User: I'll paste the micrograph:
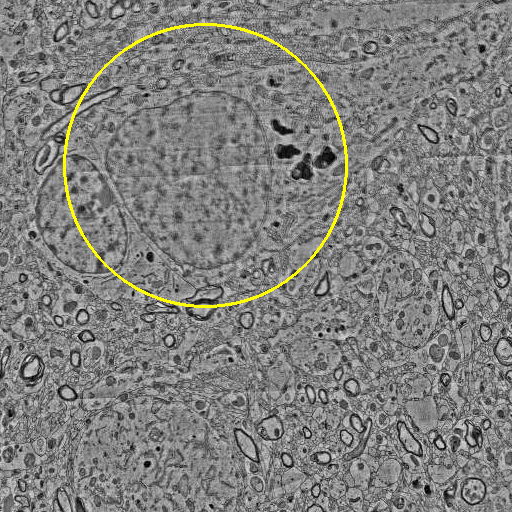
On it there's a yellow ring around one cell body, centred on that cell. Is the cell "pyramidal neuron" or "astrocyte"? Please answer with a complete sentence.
The cell ringed in yellow is a pyramidal neuron.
